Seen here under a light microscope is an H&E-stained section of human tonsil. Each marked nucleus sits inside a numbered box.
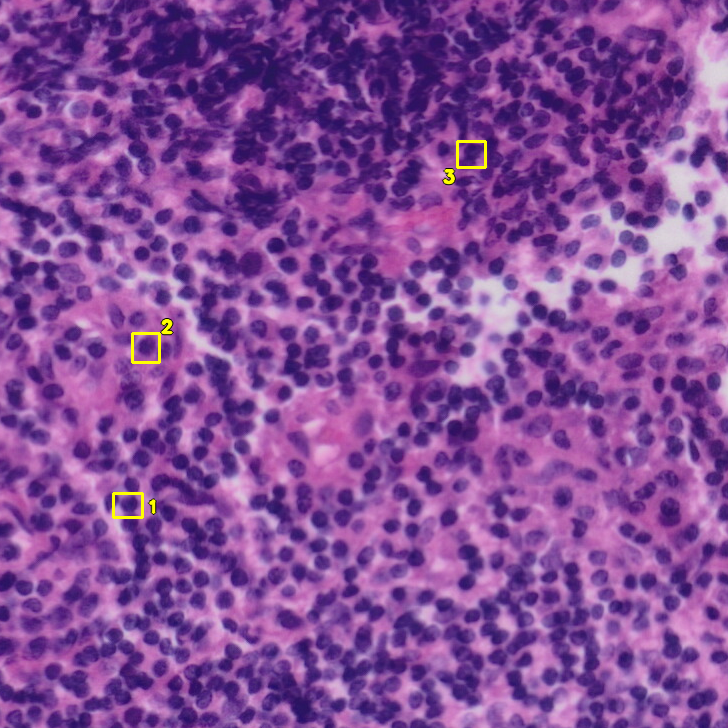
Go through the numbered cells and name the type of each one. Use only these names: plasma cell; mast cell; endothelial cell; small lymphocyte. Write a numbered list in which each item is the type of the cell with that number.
1. small lymphocyte
2. plasma cell
3. small lymphocyte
